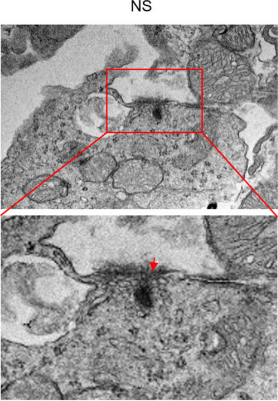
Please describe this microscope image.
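Transmission electron micrograph showing parts of cells with membranes, mitochondria and other cytoplasmic organelles, and a synapse at a cell boundary. In the enlargement, a dark electron-dense body sits against the cell membrane, and dense material lines the apposed membranes at the contact.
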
